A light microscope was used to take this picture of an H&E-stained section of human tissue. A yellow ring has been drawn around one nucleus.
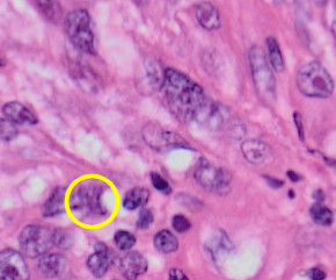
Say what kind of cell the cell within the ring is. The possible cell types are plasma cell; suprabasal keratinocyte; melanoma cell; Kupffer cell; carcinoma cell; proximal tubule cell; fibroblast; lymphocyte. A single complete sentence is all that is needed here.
Considered by cell type, the cell within the ring is a melanoma cell.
